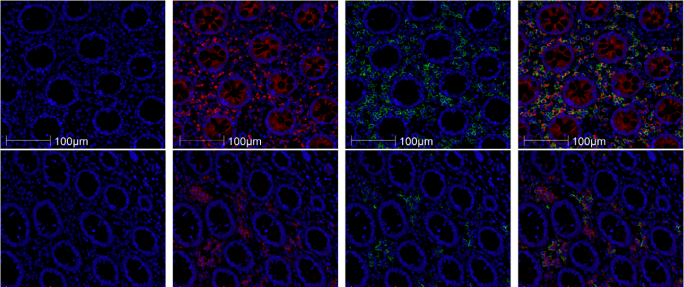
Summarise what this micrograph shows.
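A grid of eight fluorescence images in two rows and four columns shows cross-sectioned intestinal mucosa. Many round crypts appear as rings of blue nuclei, each surrounding a dark lumen. Between the crypts lies lamina propria with scattered blue nuclei. In the third column, green dots are spread through the spaces between the crypts. The fourth column overlays the red and green signals, and some yellow spots appear where they coincide. The upper row shows more red and green signal than the lower row.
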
